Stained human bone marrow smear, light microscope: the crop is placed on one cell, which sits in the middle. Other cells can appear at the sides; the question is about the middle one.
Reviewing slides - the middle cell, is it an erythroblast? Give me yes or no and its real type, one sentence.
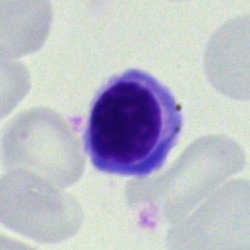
Yes, the centered cell in this field is an erythroblast.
